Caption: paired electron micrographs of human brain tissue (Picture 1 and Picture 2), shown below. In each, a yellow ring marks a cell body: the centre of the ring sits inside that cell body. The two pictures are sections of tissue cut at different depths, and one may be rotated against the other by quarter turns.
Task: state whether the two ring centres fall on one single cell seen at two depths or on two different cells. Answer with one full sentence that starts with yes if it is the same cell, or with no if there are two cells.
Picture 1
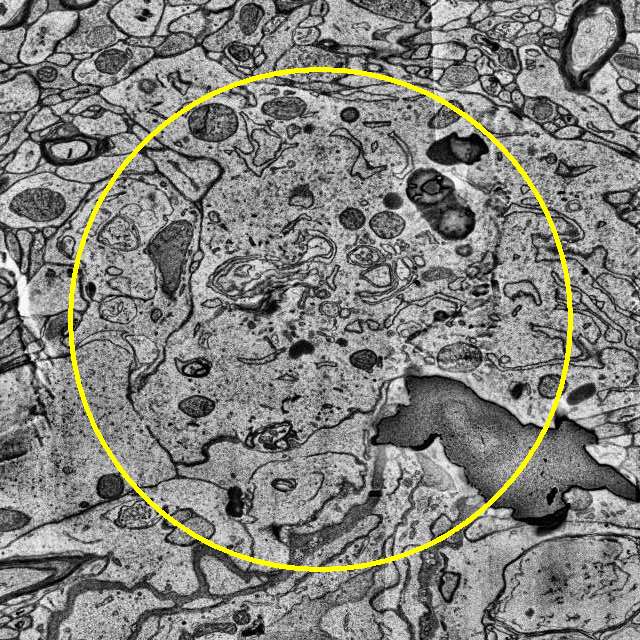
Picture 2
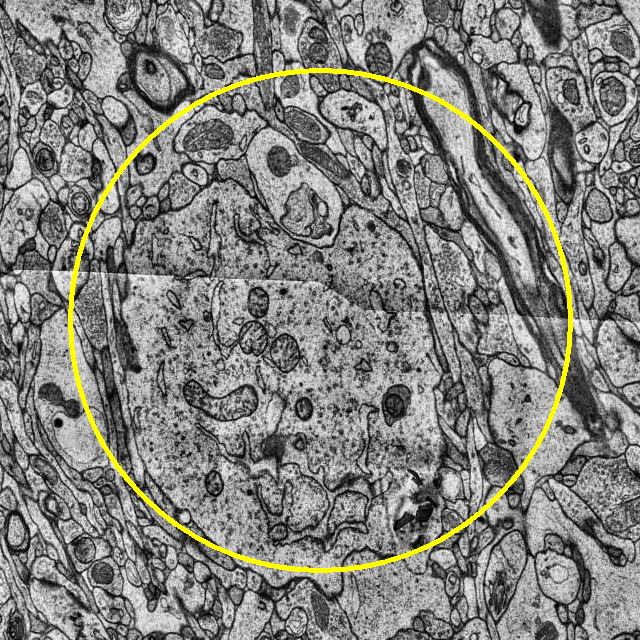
No, the rings do not mark the same cell.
